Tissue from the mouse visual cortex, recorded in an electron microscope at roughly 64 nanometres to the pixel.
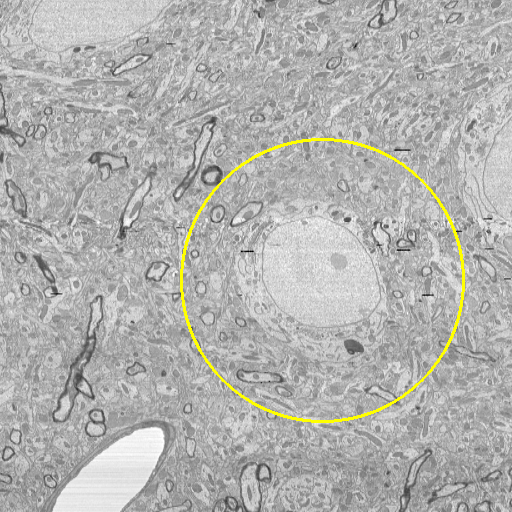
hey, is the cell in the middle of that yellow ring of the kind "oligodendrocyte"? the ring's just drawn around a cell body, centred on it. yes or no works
no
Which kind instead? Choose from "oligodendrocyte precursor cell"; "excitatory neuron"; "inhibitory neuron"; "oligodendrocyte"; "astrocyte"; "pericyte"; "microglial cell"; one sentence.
The cell in question here is an excitatory neuron.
